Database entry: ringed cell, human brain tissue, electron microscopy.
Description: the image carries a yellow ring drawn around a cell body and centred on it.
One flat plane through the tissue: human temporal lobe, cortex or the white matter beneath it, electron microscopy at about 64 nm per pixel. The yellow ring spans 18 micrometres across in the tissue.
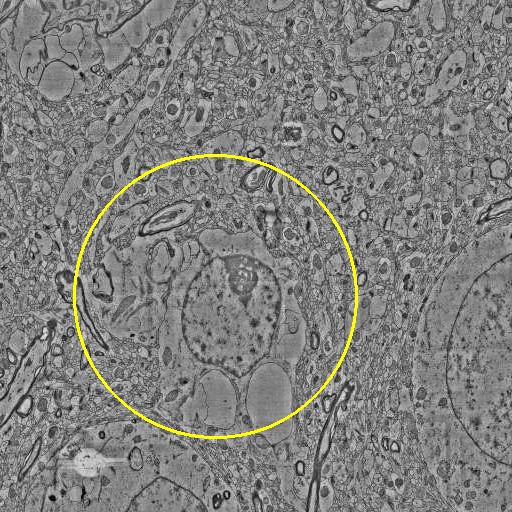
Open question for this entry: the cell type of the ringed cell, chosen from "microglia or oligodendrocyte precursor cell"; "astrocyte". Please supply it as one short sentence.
The ringed cell is an astrocyte.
